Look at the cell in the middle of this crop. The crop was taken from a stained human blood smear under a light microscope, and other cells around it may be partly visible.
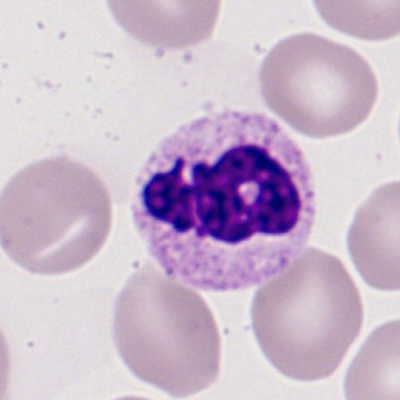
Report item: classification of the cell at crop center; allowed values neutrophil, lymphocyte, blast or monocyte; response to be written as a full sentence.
The cell of interest, in the center, is a neutrophil.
